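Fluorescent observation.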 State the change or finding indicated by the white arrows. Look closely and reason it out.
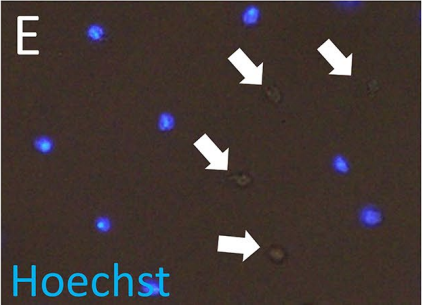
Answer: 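The marked objects show no blue fluorescence. The other cells each show a compact bright blue spot. On this evidence: cells without nuclei.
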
